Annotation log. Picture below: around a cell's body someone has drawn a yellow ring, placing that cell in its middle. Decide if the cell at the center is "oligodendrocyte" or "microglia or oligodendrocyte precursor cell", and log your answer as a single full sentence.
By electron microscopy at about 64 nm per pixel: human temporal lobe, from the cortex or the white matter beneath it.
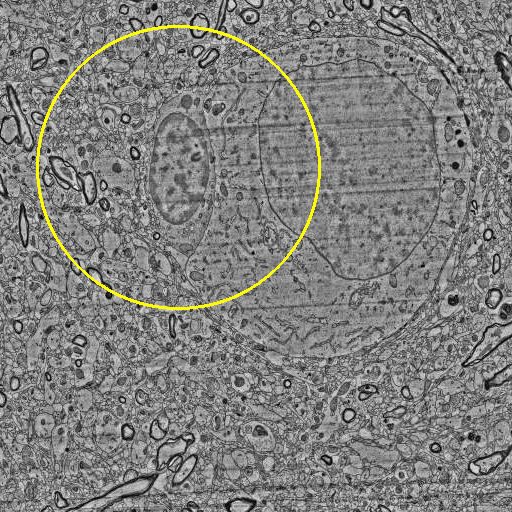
My entry records an oligodendrocyte as the cell sitting at the center of the yellow ring.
